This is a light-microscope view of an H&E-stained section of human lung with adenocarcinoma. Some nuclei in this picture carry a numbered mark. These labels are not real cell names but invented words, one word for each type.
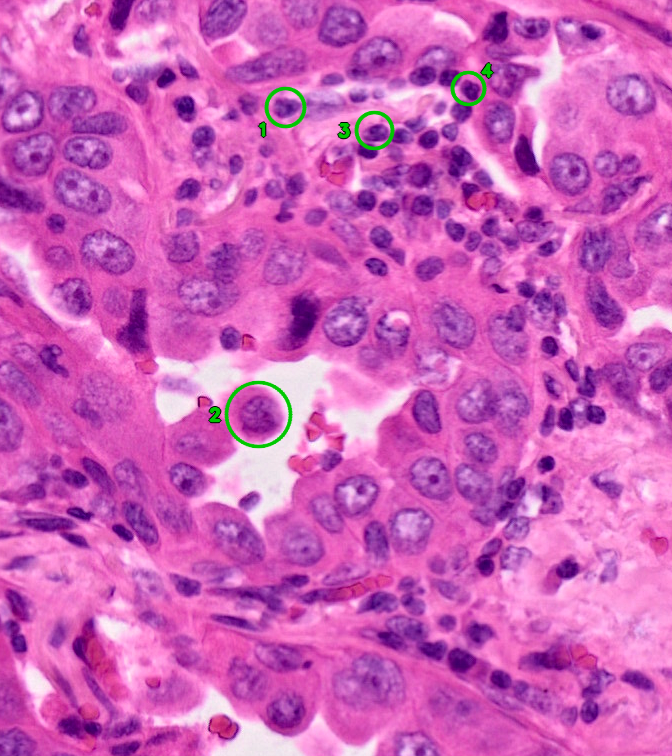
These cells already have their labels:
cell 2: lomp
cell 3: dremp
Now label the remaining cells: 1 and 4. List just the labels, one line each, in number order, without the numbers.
dremp
dremp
